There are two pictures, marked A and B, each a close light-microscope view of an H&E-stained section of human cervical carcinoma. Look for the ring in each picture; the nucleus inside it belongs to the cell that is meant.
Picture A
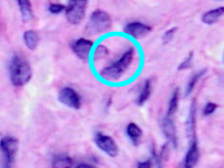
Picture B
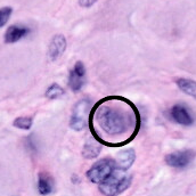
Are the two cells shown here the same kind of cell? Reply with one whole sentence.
No, they differ: the cell is a fibroblast in picture A and an endothelial cell in picture B.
